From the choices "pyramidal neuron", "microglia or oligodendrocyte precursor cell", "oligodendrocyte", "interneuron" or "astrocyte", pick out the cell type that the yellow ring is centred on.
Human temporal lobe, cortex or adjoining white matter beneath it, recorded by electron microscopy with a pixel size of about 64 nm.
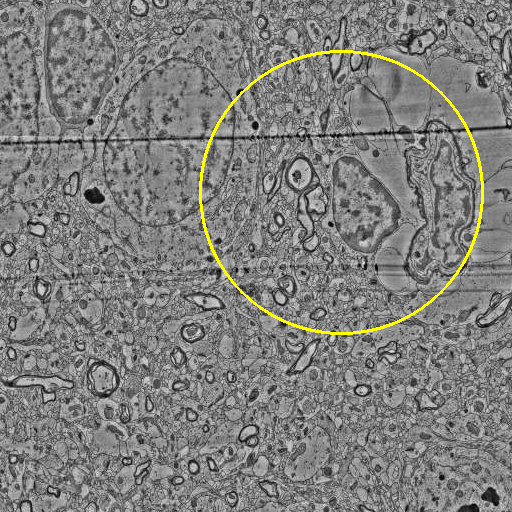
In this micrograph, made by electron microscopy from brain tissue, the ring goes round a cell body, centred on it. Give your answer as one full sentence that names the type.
The yellow ring is centred on a microglial cell or oligodendrocyte precursor cell, whose cell body it encircles in the picture.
